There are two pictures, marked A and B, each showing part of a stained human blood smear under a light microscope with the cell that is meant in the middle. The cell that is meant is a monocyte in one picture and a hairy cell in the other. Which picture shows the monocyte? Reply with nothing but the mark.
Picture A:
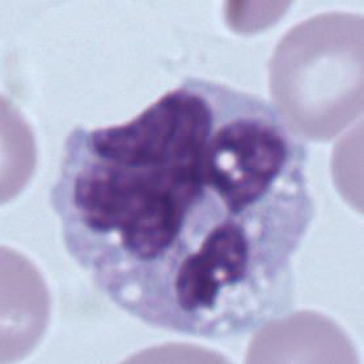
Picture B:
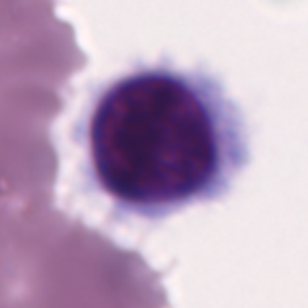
A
